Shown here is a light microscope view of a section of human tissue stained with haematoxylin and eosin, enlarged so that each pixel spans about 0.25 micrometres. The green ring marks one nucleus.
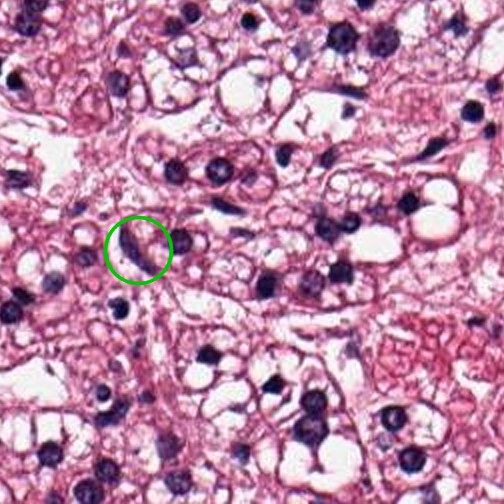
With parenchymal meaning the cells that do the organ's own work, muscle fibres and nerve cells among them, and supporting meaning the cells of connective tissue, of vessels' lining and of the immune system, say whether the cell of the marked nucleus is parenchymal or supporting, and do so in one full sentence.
Belonging to a supporting cell is the nucleus that is marked.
